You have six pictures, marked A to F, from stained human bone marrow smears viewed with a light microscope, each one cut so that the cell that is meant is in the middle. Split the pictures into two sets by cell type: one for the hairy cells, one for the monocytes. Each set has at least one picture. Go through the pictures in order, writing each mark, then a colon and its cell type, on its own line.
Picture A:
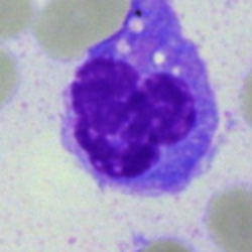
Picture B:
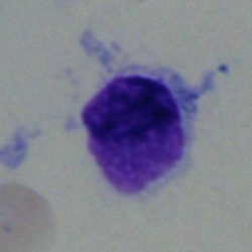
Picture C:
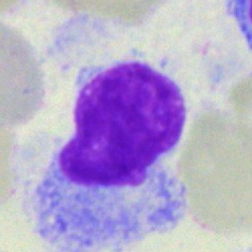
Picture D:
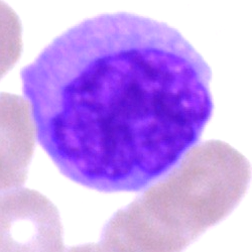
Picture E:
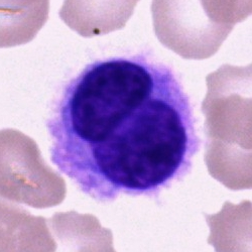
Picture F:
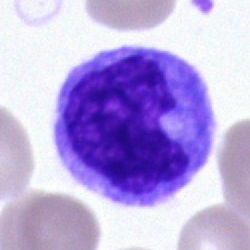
A: monocyte
B: hairy cell
C: hairy cell
D: monocyte
E: hairy cell
F: monocyte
